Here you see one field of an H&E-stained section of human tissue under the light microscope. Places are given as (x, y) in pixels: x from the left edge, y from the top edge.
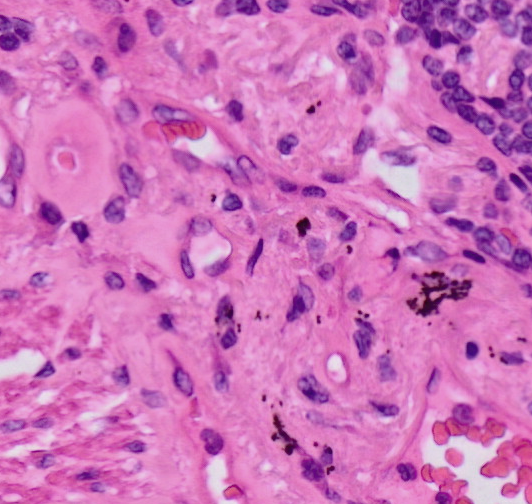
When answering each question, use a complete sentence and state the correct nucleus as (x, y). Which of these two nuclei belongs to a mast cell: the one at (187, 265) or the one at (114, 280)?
The nucleus at (114, 280) is identified as belonging to a mast cell.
